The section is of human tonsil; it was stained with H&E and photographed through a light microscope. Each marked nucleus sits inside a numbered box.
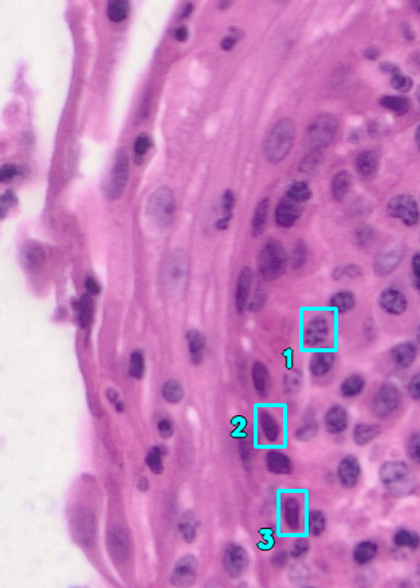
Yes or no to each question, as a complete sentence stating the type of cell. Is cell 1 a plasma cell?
Yes, the cell tagged with the number 1 is a plasma cell.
